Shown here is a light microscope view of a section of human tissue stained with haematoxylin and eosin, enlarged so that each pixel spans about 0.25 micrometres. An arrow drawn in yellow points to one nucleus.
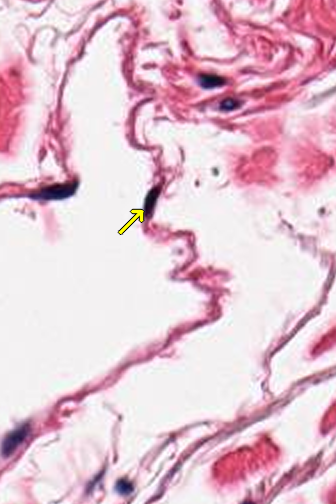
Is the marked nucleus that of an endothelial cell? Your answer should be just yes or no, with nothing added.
yes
